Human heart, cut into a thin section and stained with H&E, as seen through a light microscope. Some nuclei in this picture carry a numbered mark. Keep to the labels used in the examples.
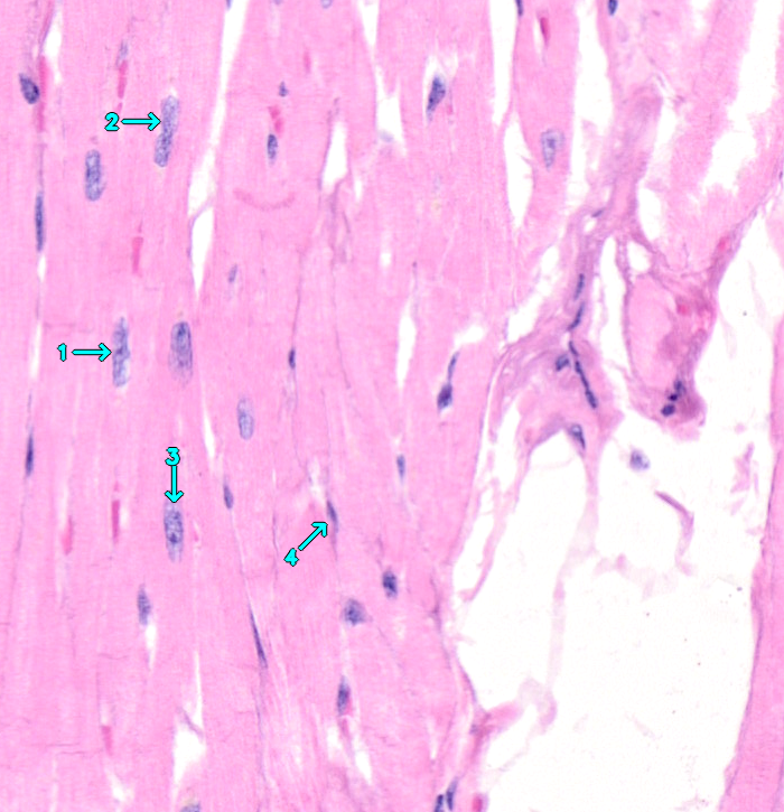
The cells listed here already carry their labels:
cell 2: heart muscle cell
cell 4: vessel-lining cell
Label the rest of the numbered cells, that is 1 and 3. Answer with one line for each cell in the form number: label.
1: heart muscle cell
3: heart muscle cell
